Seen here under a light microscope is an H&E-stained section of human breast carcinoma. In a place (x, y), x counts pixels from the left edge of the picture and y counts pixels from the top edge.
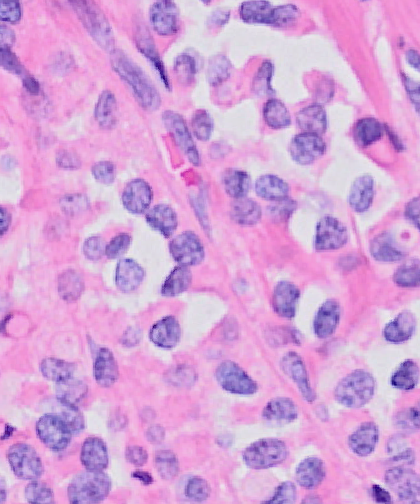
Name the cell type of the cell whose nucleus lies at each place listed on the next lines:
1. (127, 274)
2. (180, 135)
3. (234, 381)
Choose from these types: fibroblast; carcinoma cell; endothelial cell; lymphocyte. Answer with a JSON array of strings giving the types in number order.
["carcinoma cell", "endothelial cell", "carcinoma cell"]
